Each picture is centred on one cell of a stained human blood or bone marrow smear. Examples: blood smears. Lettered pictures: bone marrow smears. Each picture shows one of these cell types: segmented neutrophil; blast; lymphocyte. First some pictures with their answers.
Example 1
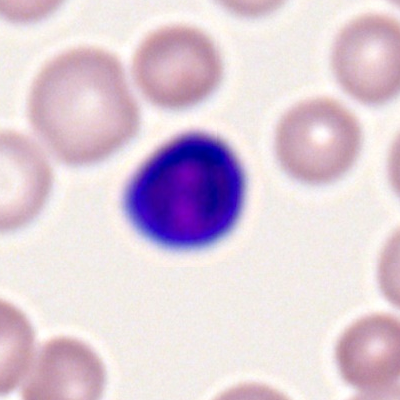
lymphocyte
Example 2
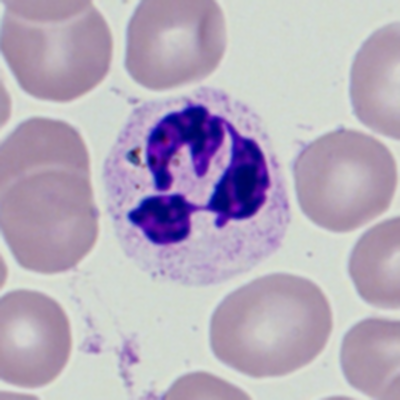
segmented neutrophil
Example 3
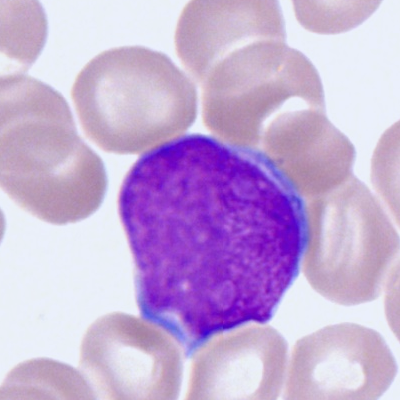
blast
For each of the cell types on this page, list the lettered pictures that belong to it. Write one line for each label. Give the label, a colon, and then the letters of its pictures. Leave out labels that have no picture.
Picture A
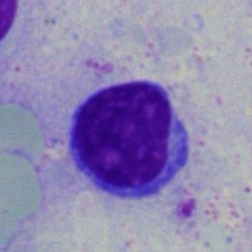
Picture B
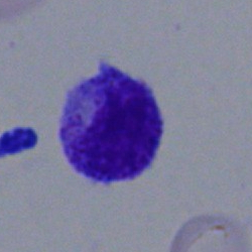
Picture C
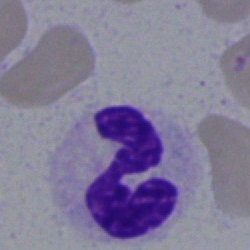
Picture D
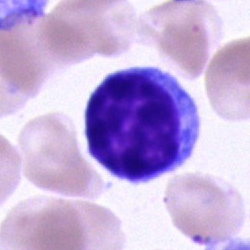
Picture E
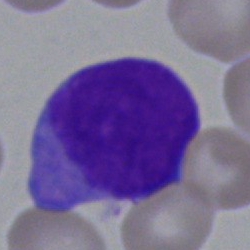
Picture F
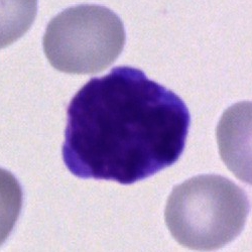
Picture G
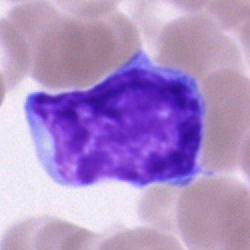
segmented neutrophil: C
blast: E, F, G
lymphocyte: A, B, D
